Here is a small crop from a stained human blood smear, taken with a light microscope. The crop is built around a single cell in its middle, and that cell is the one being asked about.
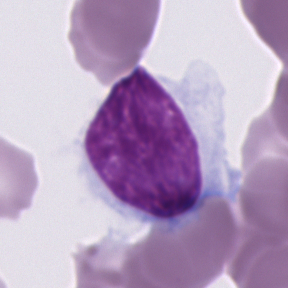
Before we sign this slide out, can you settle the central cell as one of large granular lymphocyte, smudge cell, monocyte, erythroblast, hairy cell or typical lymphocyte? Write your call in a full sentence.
The cell under consideration, at the middle of the crop, is a hairy cell.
